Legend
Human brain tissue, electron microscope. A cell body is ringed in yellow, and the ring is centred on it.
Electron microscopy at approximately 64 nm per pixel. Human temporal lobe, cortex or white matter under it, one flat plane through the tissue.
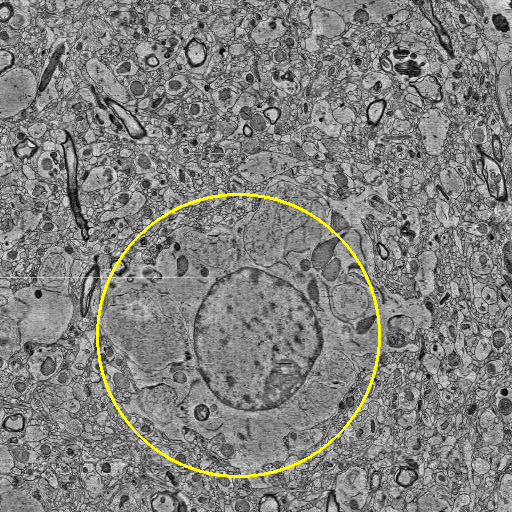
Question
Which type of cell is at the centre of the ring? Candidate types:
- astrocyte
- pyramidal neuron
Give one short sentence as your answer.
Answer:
The yellow ring is centred here on an astrocyte.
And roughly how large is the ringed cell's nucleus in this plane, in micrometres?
About 9 micrometres by about 8 micrometres in this plane.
